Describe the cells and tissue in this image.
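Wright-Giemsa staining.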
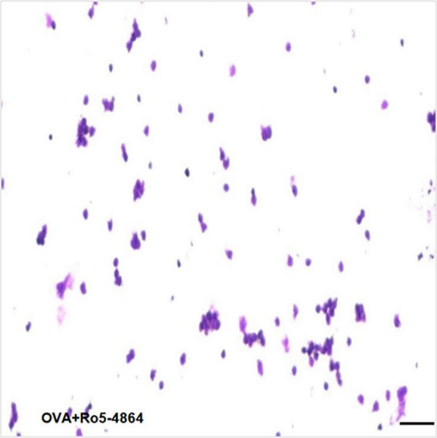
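Round cells with purple to violet nuclei lie mostly singly, spaced apart on a clear background. A few small groups of several cells occur. Some cells show paler pink-magenta cytoplasm or material around them. No large dense clumps are present.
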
